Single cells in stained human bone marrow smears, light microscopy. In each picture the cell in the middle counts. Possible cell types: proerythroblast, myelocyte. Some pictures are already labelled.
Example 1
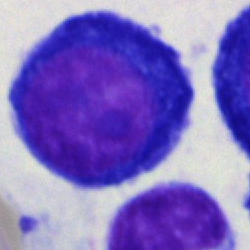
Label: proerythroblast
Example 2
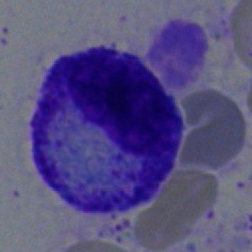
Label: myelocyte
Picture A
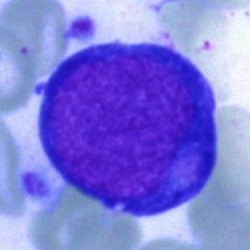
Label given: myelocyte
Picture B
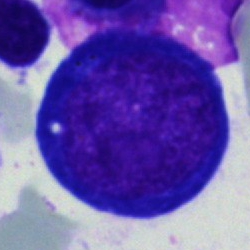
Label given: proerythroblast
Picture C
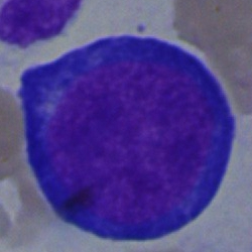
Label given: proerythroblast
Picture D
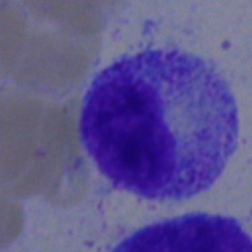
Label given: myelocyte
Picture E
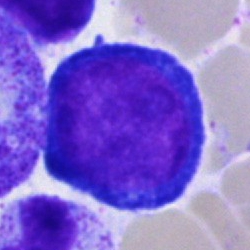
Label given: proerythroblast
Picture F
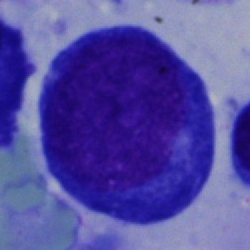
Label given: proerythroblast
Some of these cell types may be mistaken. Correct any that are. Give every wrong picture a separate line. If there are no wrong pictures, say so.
Wrong: A (myelocyte); correct: proerythroblast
